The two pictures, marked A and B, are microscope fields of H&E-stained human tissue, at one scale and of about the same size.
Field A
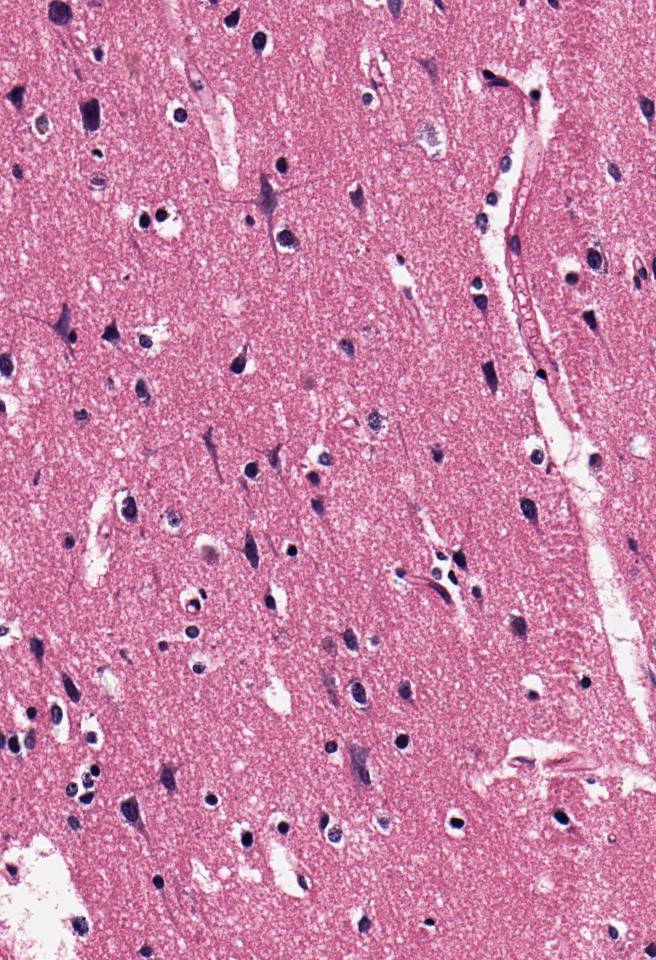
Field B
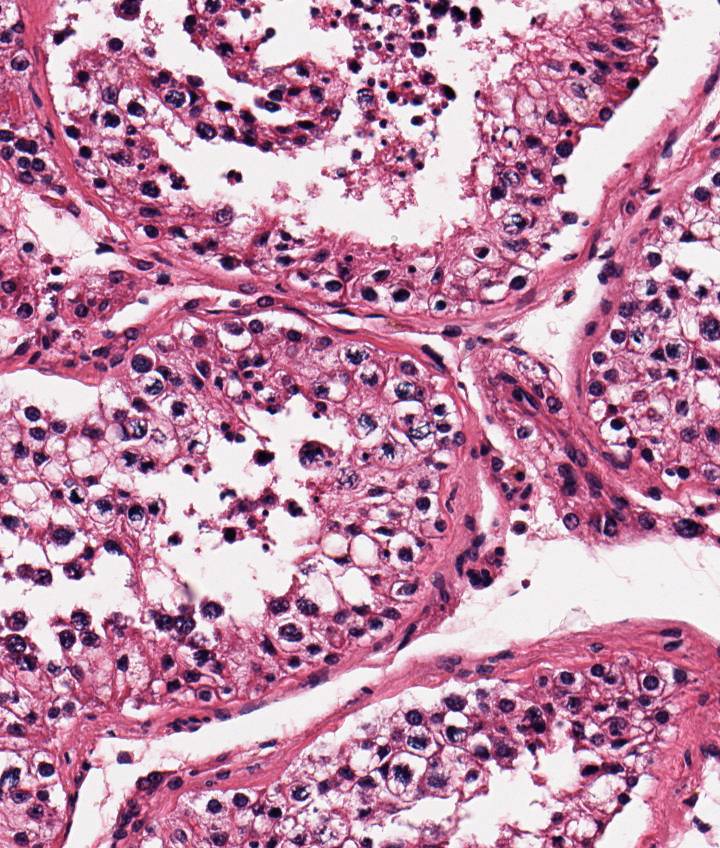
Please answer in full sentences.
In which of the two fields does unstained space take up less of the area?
It is field A that stained tissue fills more completely.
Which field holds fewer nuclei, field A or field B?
Fewer nuclei lie in field A than in field B.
